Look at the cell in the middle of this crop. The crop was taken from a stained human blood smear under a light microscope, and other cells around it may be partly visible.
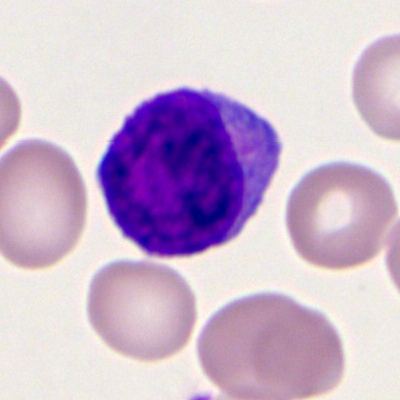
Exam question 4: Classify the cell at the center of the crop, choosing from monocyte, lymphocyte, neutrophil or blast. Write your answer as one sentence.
In the centre of this crop there is a blast.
